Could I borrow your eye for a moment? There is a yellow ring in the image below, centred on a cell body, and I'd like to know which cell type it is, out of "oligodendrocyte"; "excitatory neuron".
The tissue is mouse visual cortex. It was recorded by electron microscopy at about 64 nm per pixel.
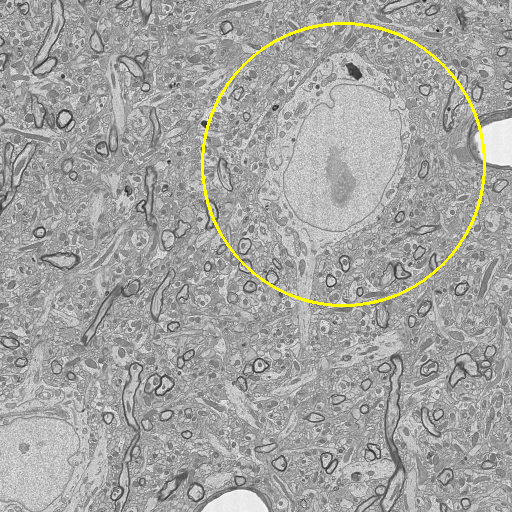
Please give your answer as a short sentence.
The cell body at the centre is that of an excitatory neuron.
